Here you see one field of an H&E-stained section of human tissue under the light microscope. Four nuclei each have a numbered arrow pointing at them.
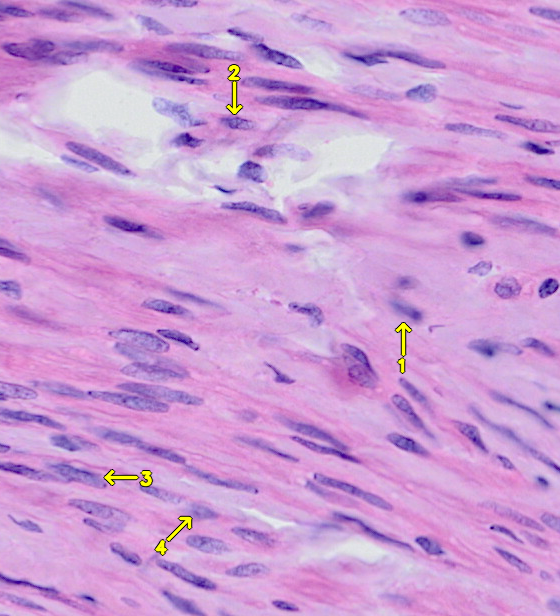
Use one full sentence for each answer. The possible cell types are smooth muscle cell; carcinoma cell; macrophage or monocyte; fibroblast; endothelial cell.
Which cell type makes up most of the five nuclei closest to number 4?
Smooth muscle cells account for more than half of the five nuclei nearest to number 4.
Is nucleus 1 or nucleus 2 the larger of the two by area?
Nucleus 1 is larger, with an area about 1.5 times that of nucleus 2.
